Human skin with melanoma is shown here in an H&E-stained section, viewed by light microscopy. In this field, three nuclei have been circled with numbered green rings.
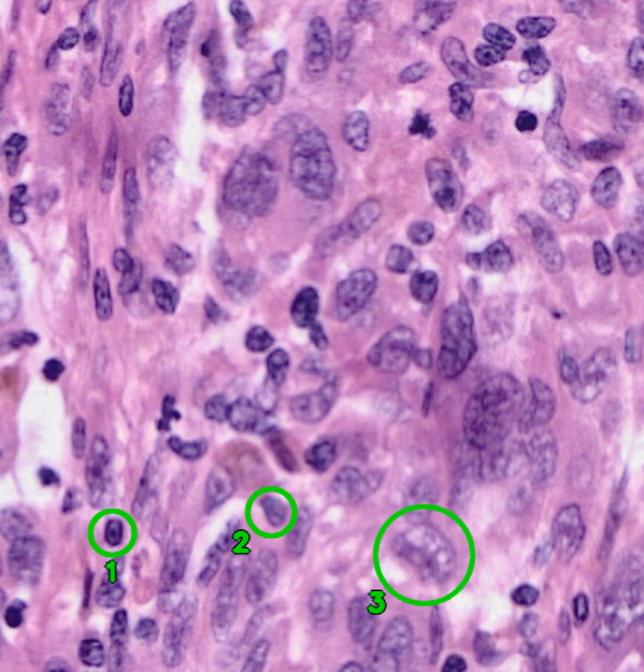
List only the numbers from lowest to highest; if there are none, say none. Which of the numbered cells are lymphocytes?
1, 2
